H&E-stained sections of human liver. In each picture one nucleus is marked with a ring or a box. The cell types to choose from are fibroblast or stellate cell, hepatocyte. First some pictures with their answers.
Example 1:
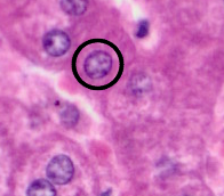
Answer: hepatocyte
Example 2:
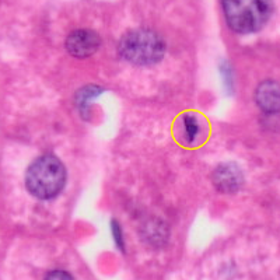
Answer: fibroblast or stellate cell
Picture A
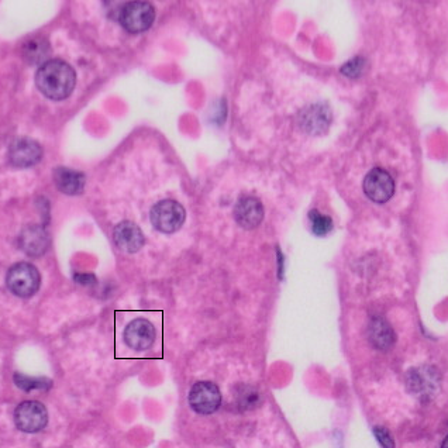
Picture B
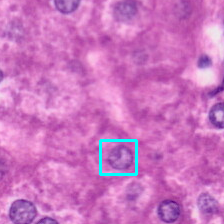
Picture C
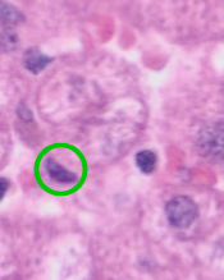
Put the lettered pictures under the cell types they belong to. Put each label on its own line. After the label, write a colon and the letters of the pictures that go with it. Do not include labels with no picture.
fibroblast or stellate cell: C
hepatocyte: A, B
